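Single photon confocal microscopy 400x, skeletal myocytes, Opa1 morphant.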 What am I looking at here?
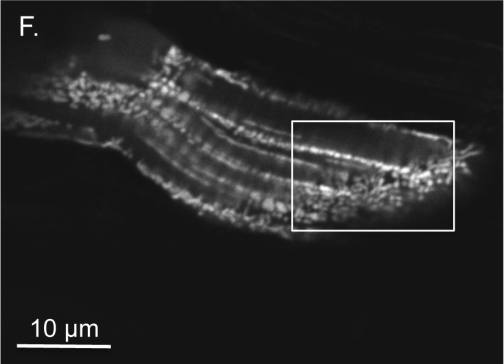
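The cell is elongated and tapers toward the right. Bright mitochondria line up in several parallel longitudinal rows along its length. Between and around these rows, much of the labeled material is broken into small round dots and short fragments that lie in dense granular clusters, especially toward the left and near the tapered end. Long continuous tubules are few. The space between the rows has a faint diffuse background.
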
